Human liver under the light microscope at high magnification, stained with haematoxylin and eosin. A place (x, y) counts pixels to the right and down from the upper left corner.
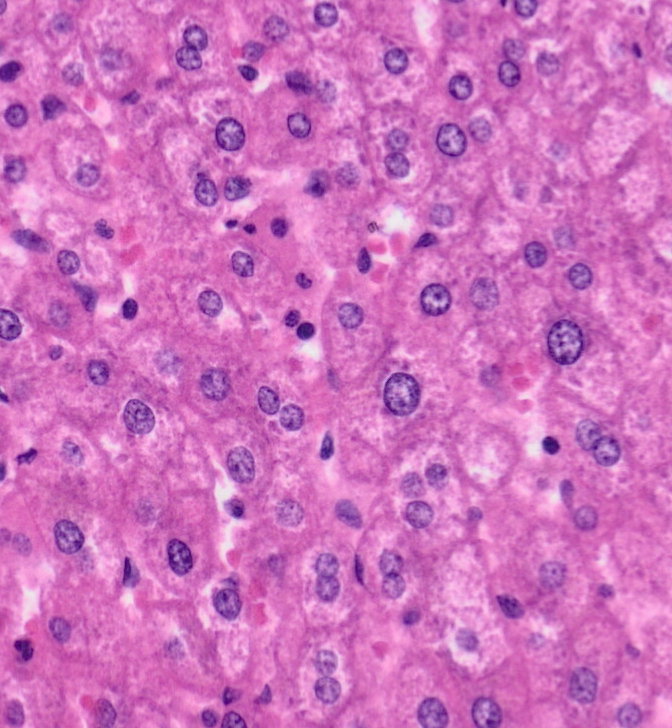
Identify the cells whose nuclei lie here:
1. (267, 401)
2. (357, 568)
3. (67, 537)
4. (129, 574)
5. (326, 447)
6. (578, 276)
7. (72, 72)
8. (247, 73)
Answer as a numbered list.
1. hepatocyte
2. fibroblast or stellate cell
3. hepatocyte
4. endothelial cell
5. lymphocyte
6. hepatocyte
7. hepatocyte
8. lymphocyte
